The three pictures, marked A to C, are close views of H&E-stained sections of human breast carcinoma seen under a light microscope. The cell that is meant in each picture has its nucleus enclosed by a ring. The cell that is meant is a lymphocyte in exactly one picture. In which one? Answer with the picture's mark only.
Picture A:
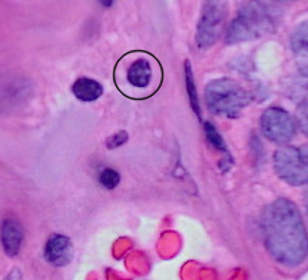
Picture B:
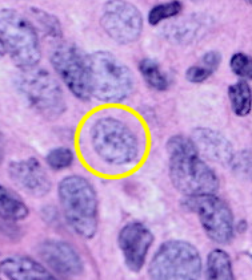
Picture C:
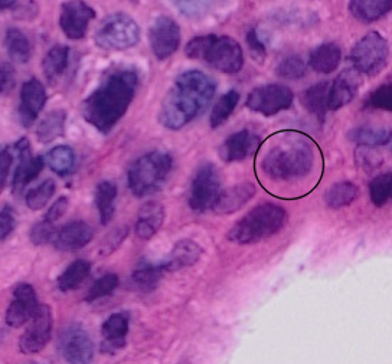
A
